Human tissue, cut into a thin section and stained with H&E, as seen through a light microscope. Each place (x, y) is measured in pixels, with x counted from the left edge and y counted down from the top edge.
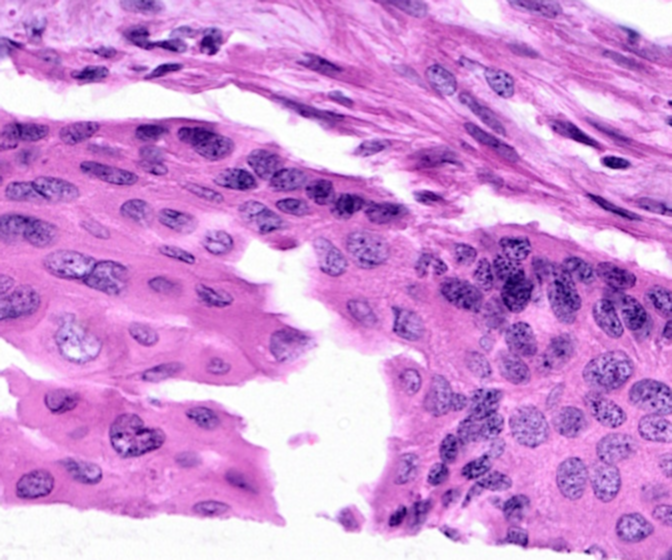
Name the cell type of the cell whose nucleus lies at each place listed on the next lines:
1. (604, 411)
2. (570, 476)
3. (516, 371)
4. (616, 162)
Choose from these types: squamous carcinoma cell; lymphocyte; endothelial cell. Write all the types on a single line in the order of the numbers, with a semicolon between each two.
squamous carcinoma cell; squamous carcinoma cell; squamous carcinoma cell; lymphocyte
